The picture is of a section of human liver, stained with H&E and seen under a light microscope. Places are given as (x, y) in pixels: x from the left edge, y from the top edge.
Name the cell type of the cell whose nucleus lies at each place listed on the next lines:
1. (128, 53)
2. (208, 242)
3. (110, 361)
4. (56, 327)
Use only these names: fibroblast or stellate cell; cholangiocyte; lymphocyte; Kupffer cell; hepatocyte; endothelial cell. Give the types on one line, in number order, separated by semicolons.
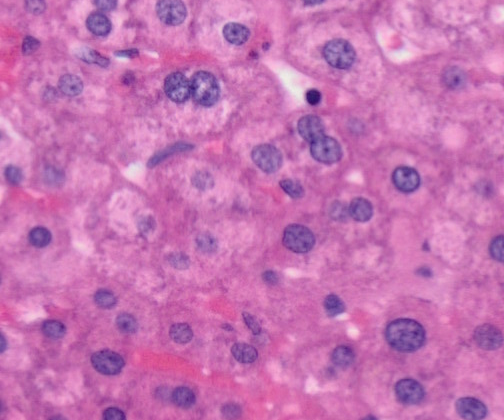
endothelial cell; hepatocyte; hepatocyte; hepatocyte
